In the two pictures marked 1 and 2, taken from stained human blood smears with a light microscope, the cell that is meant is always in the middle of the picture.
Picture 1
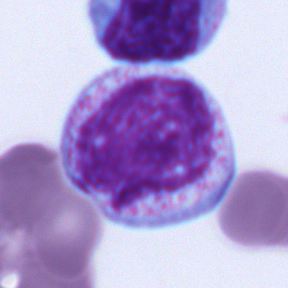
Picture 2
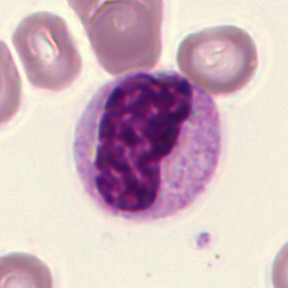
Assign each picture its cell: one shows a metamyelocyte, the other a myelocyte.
1: myelocyte
2: metamyelocyte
